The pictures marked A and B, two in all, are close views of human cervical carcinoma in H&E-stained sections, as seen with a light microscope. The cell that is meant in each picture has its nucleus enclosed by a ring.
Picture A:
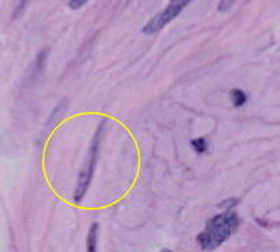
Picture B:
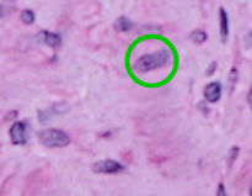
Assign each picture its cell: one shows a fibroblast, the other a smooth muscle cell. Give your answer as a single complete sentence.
It is picture A that shows a fibroblast, and picture B that shows a smooth muscle cell.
